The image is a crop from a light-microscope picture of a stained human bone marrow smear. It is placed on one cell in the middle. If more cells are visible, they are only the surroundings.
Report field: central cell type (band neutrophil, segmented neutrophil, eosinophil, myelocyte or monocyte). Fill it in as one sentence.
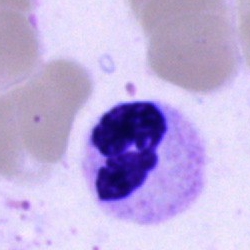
The central cell in this smear crop is a segmented neutrophil.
